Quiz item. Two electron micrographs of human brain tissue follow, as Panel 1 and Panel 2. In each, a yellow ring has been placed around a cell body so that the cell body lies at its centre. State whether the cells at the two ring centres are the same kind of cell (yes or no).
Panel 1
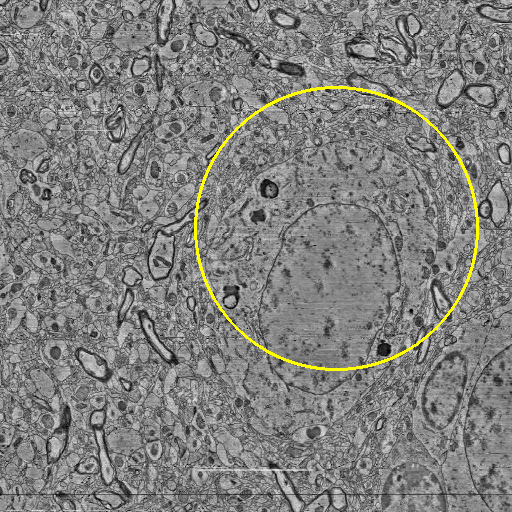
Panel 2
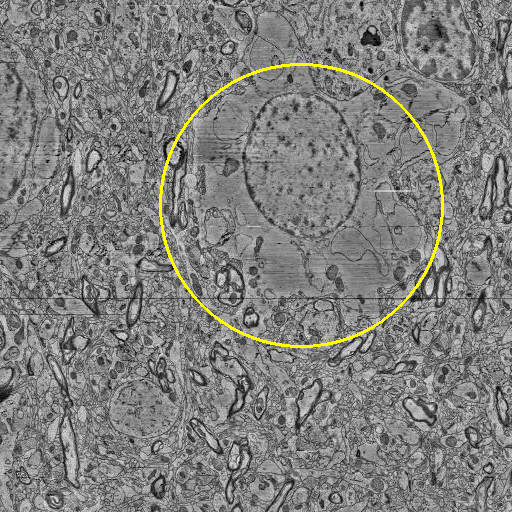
no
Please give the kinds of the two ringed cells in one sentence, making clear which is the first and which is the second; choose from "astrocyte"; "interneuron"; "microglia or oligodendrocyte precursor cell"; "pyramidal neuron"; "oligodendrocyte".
In the second picture the ringed cell is an astrocyte; in the first it is a pyramidal neuron.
